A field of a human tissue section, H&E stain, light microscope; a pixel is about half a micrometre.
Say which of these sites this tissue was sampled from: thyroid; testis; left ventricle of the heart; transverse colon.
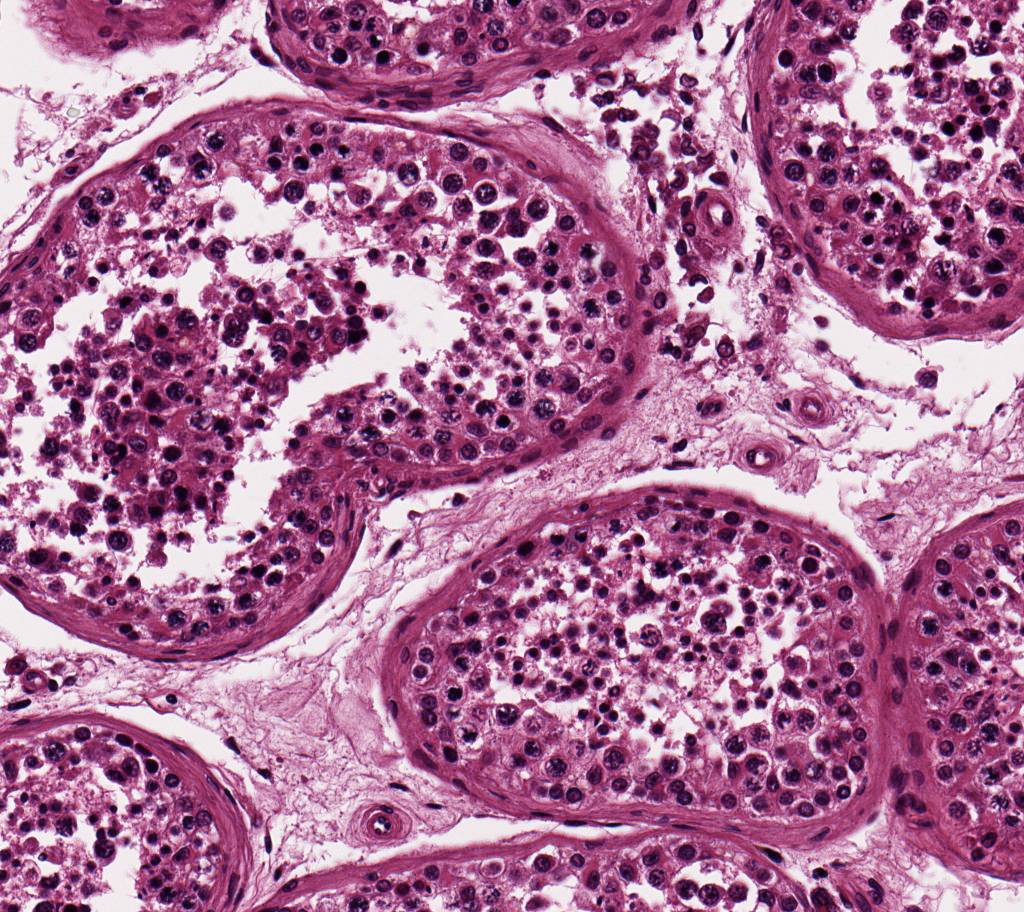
testis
